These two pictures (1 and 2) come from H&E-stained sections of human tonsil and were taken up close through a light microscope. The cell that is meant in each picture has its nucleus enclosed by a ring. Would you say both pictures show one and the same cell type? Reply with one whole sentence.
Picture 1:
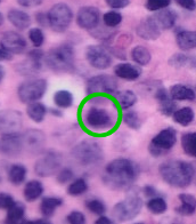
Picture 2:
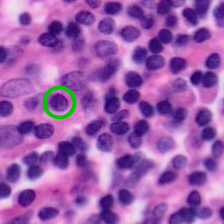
No, picture 1 shows a proliferating B cell and picture 2 shows an endothelial cell.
